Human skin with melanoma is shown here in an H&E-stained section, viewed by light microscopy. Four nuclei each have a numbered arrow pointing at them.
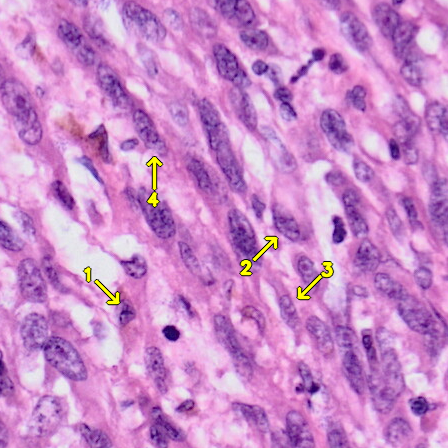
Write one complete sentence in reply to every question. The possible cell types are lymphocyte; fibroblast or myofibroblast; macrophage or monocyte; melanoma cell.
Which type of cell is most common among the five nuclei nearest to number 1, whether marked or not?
Around number 1, most of the five nearest nuclei are those of melanoma cells.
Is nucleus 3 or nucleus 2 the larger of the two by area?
The larger nucleus is 2, at roughly 2 times the area of 3.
